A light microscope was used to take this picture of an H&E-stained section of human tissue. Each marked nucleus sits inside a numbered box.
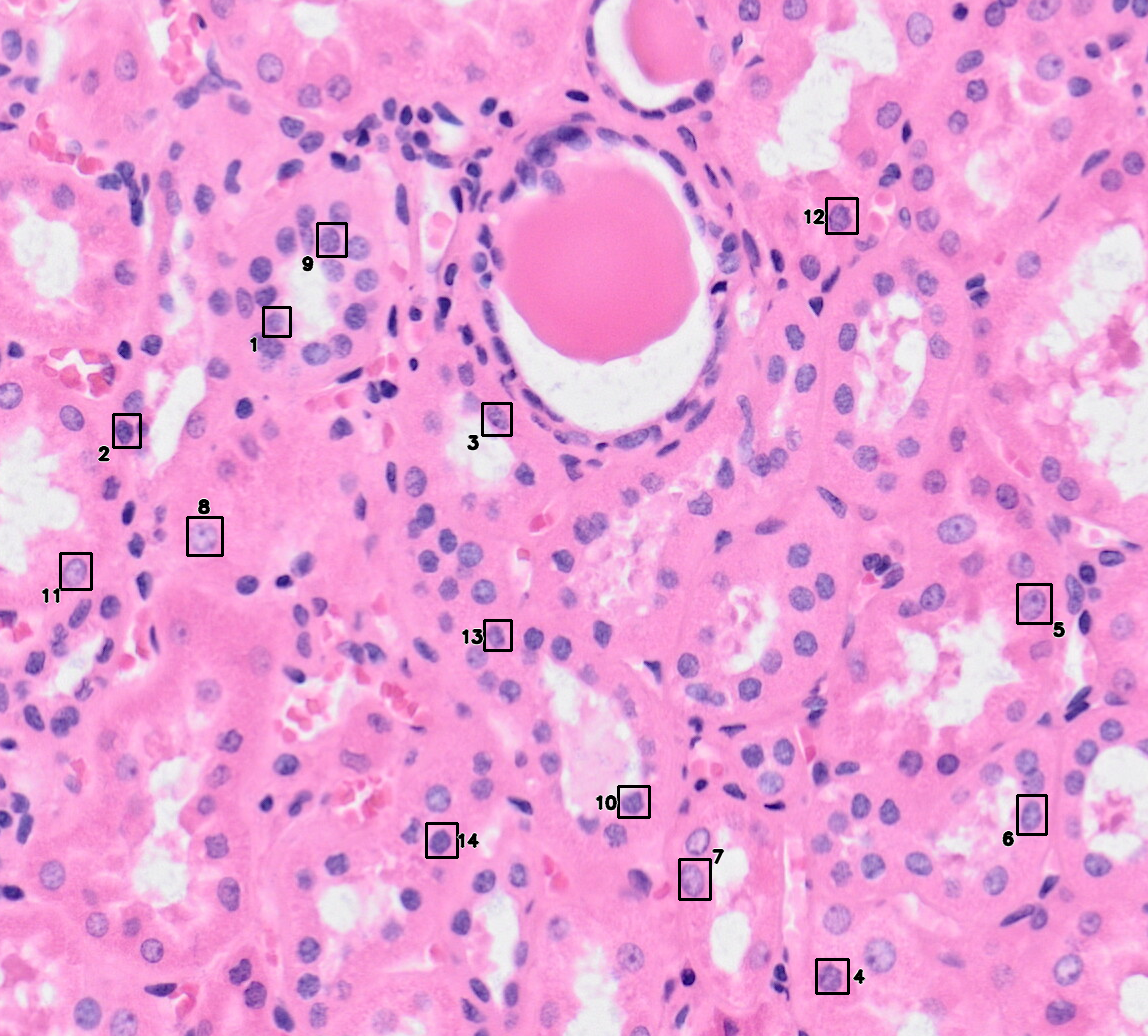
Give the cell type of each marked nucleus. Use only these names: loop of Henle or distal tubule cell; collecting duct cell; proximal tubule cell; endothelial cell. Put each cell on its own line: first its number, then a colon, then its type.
1: collecting duct cell
2: loop of Henle or distal tubule cell
3: loop of Henle or distal tubule cell
4: proximal tubule cell
5: proximal tubule cell
6: loop of Henle or distal tubule cell
7: proximal tubule cell
8: proximal tubule cell
9: collecting duct cell
10: loop of Henle or distal tubule cell
11: proximal tubule cell
12: proximal tubule cell
13: loop of Henle or distal tubule cell
14: loop of Henle or distal tubule cell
